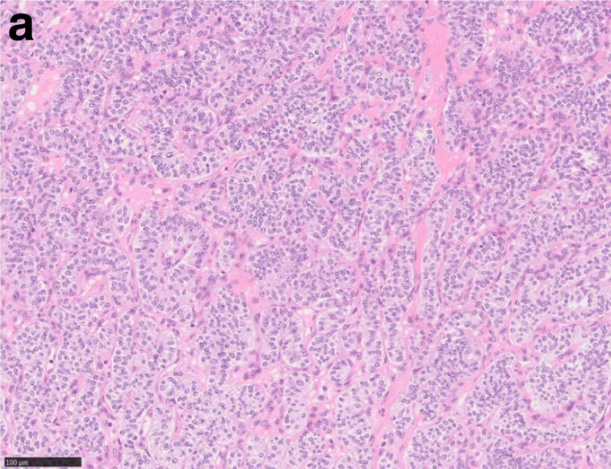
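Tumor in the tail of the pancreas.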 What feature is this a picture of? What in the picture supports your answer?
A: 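Tumor cells form cords and ribbons separated by thin septa.
Answer: trabecular architecture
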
